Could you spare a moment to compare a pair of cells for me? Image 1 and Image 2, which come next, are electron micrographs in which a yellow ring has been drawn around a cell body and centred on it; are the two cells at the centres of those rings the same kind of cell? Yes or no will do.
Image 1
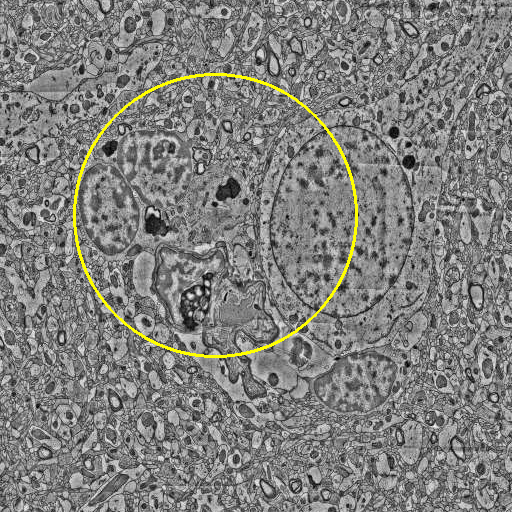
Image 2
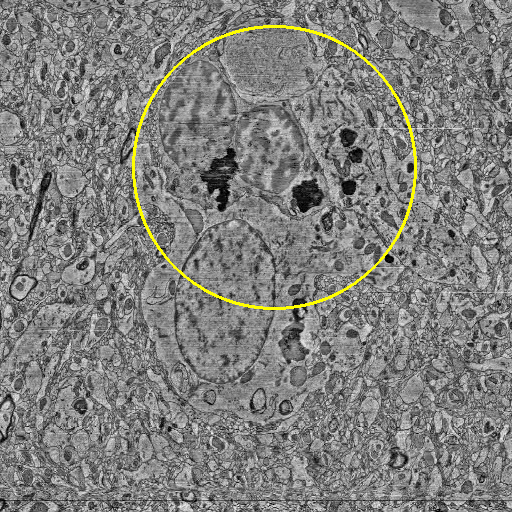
yes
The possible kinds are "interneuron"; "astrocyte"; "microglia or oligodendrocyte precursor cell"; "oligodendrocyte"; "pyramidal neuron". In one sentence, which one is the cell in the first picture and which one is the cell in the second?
The cell at the ring centre is an oligodendrocyte in both pictures.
